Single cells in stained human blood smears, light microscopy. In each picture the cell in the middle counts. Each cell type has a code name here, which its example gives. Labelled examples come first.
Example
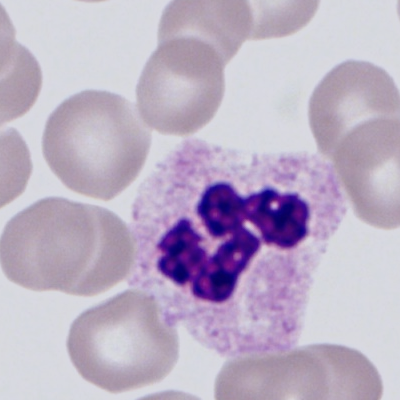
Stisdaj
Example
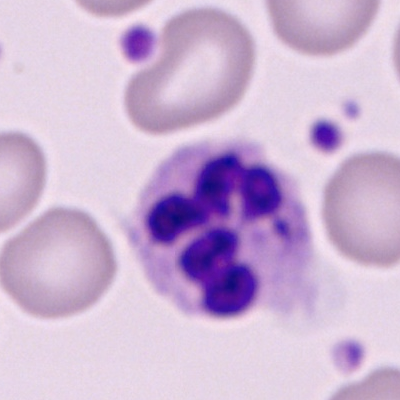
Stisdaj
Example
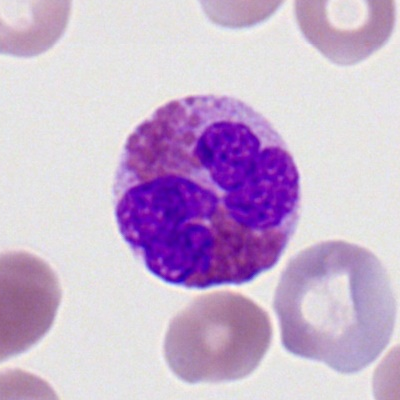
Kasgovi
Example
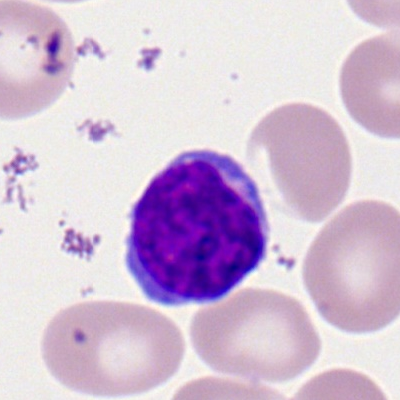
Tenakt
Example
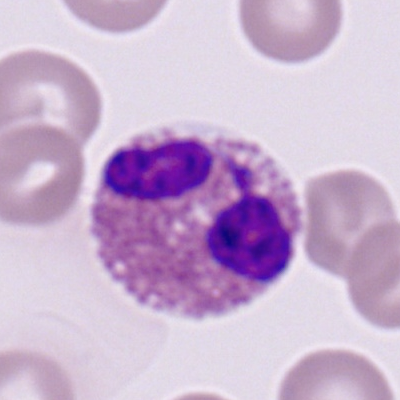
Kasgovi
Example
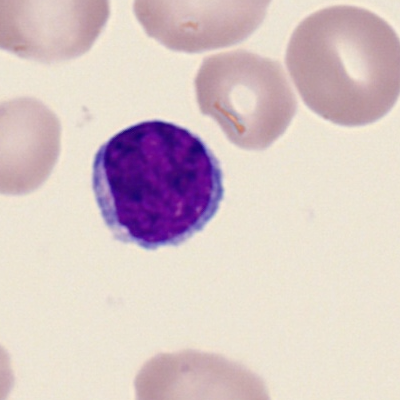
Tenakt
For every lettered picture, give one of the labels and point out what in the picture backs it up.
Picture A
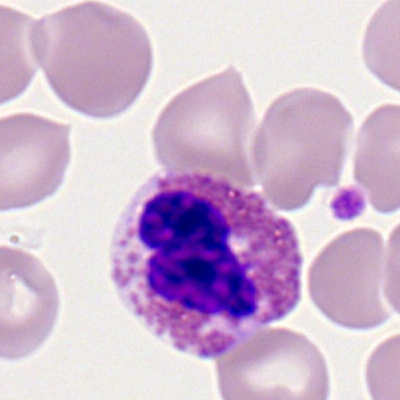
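Kasgovi: The granules are coarse and spread throughout the cytoplasm.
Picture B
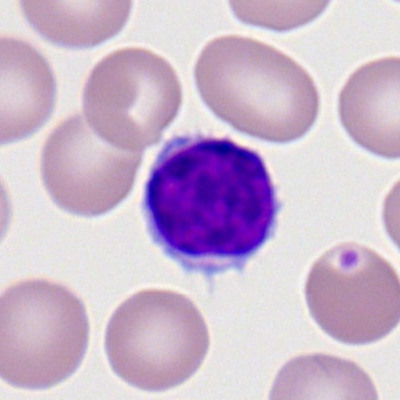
Tenakt: The cytoplasm is only a very thin rim around the nucleus.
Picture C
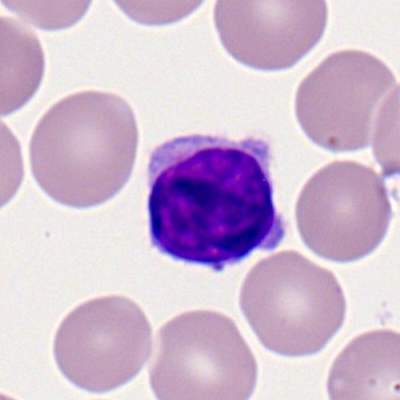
Tenakt: The cytoplasm is a scant rim, widest along the top of the cell.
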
